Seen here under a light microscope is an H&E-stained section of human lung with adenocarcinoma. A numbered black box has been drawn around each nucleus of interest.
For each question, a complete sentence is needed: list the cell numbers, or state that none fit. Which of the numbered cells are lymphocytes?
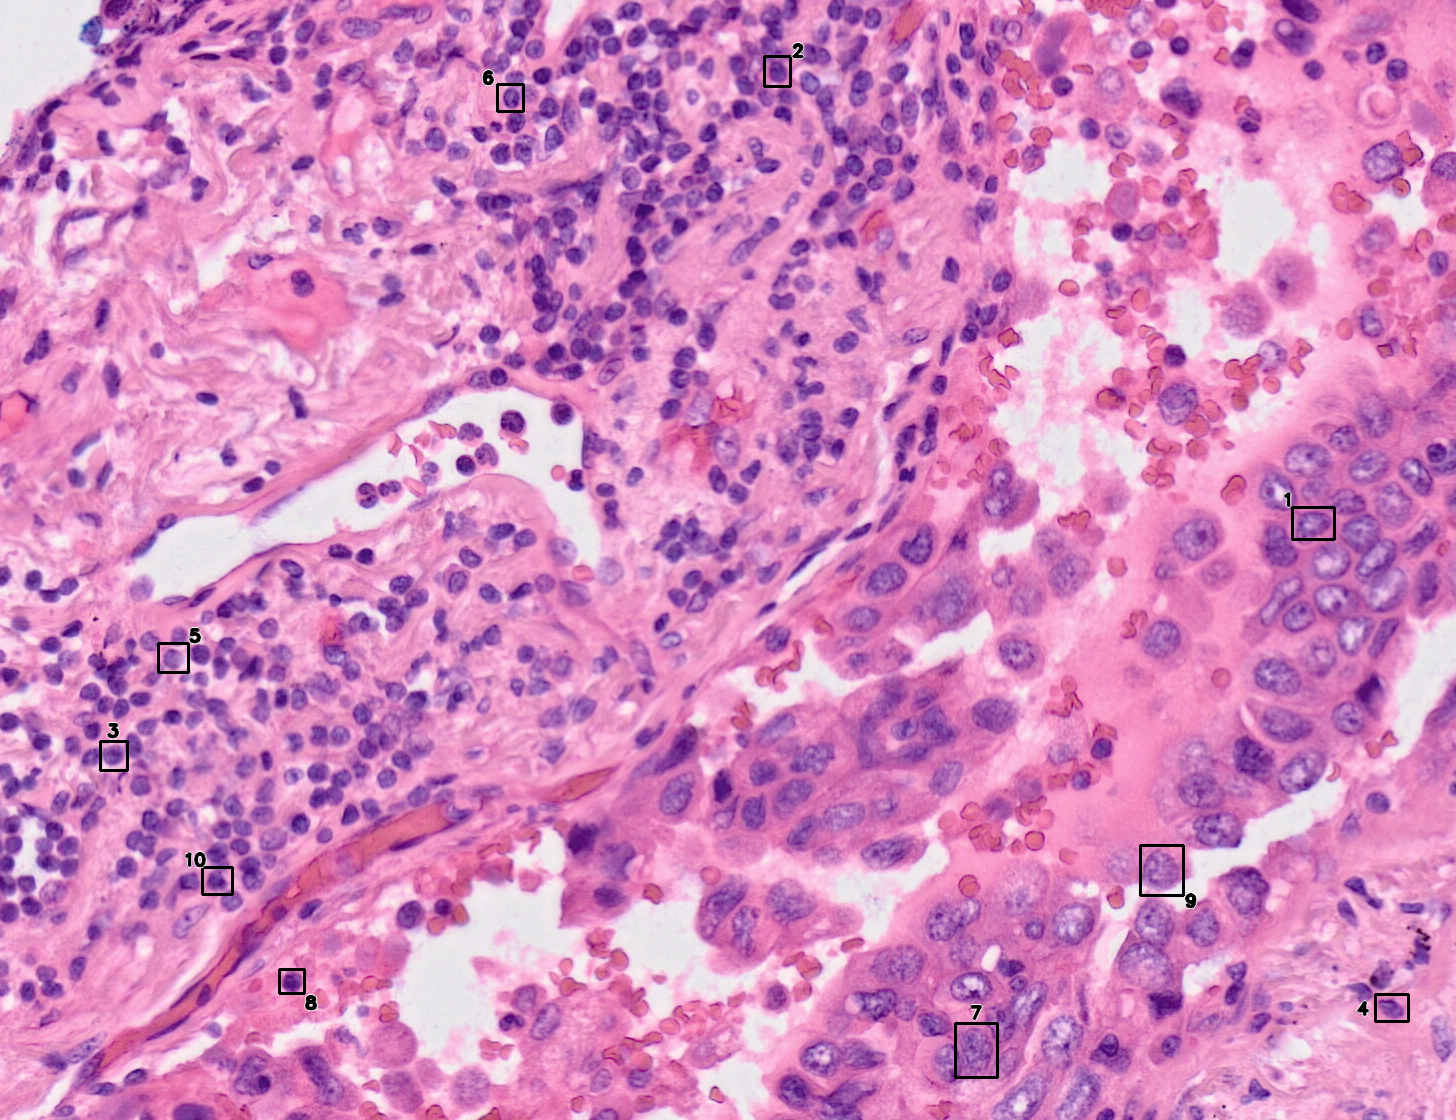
The cells that have been numbered 2, 3, 5, 6, 8 and 10 are lymphocytes.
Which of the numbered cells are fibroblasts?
The correct answer is that none of the numbered cells are fibroblasts.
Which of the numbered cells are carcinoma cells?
The cells carrying labels 1, 7 and 9 are carcinoma cells.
